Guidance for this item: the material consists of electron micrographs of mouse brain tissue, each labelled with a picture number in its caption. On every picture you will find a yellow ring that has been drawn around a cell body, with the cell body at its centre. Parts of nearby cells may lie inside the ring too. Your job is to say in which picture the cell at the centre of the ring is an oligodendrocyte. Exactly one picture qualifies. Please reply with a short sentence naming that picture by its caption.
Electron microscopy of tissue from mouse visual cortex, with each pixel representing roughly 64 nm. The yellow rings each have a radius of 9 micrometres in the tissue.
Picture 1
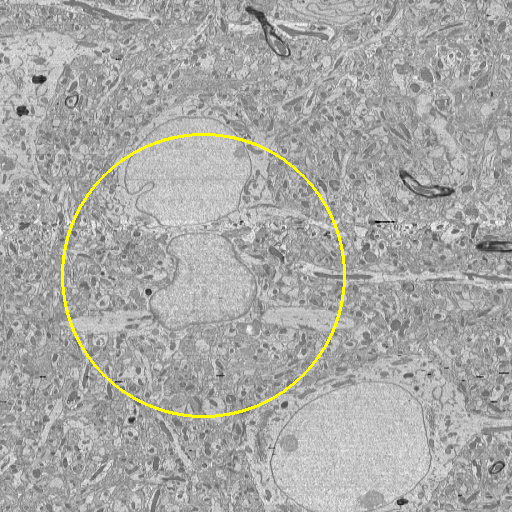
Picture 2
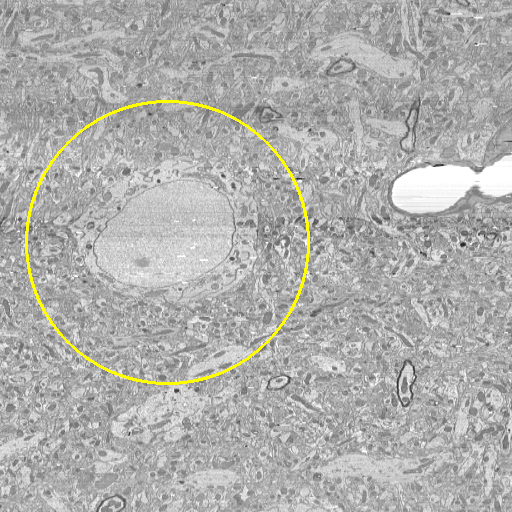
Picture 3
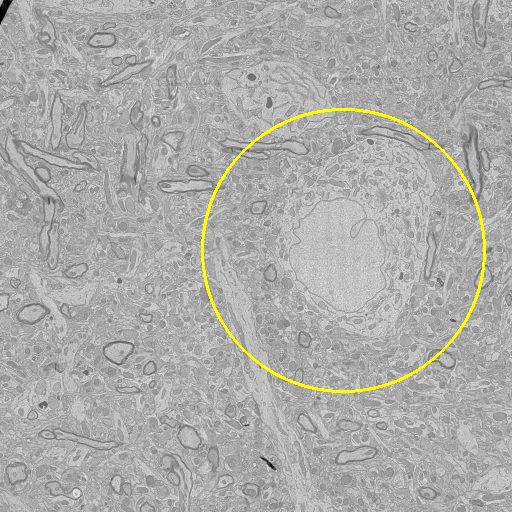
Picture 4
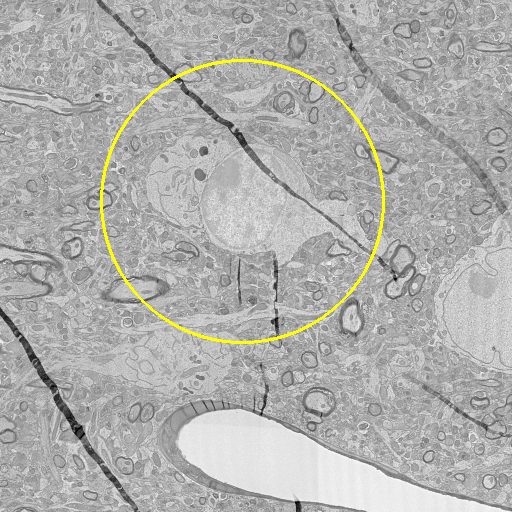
Picture 4 shows it at the centre of the ring.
